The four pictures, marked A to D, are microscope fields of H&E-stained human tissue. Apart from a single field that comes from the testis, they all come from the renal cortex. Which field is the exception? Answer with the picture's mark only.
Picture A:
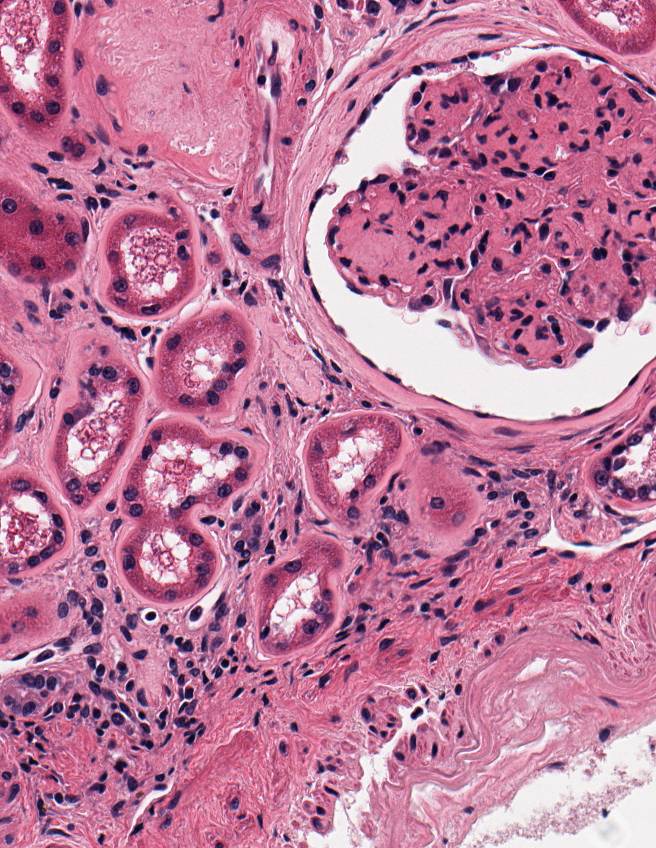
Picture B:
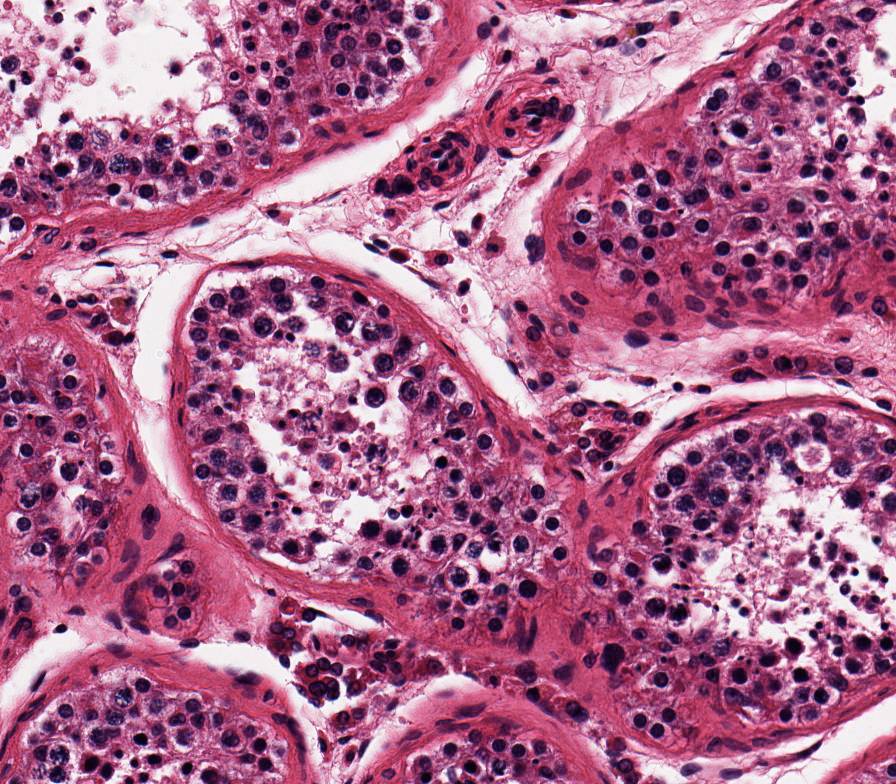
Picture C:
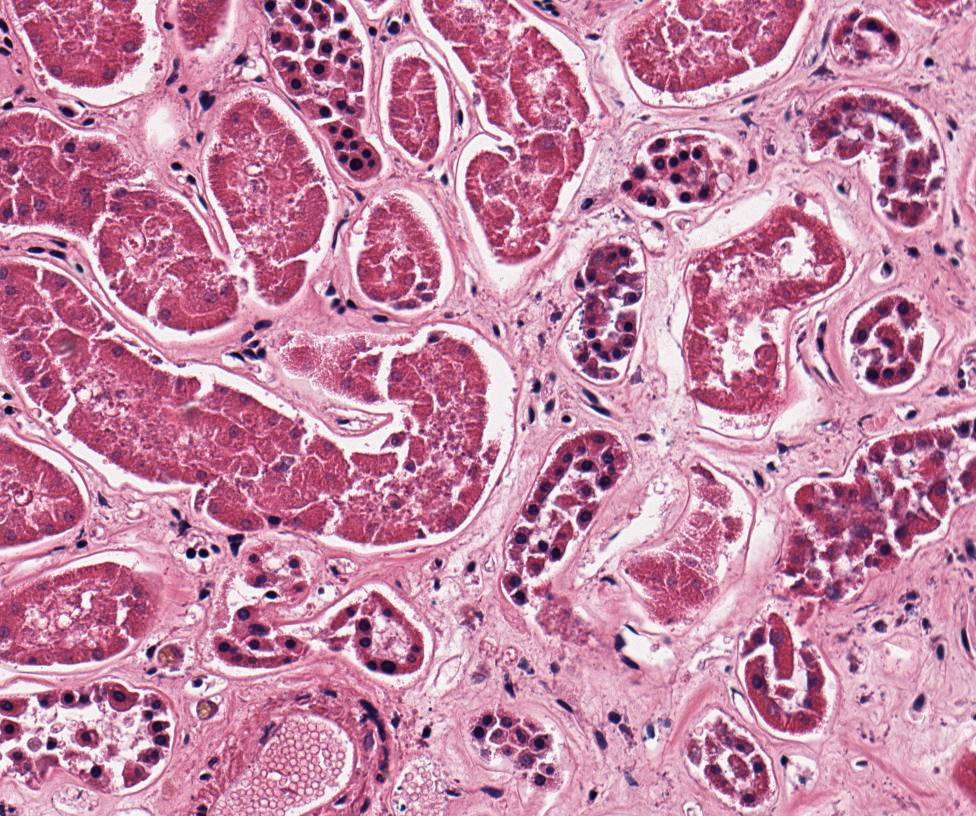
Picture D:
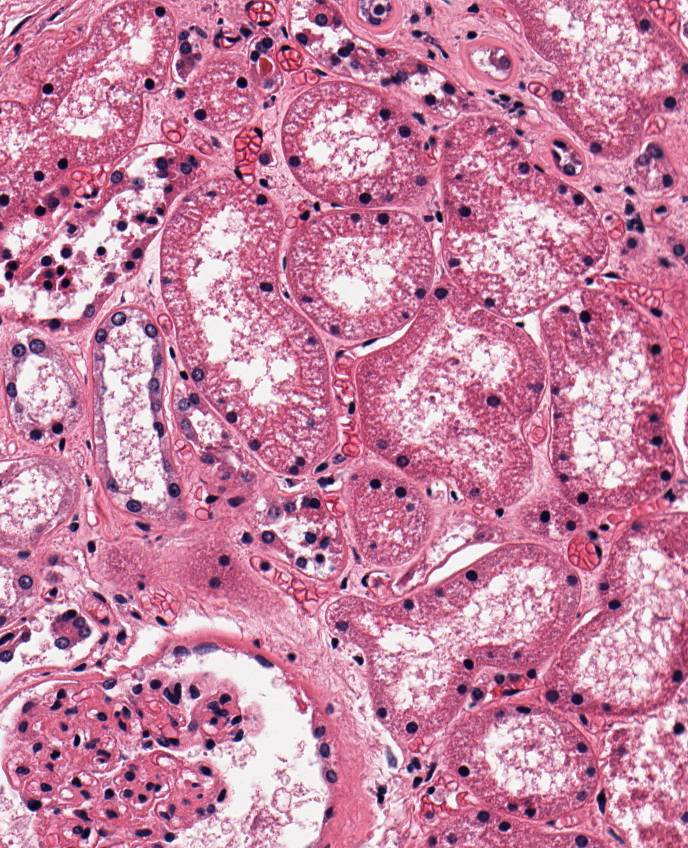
B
